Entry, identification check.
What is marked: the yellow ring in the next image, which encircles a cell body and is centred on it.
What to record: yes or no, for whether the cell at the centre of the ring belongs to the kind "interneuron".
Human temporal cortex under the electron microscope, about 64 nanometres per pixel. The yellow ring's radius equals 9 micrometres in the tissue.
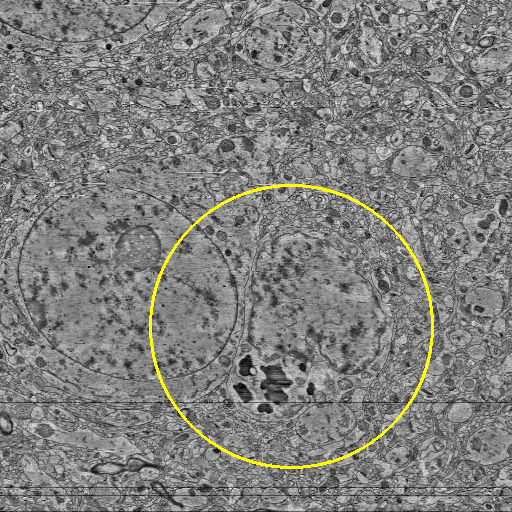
Yes, it belongs to that kind.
